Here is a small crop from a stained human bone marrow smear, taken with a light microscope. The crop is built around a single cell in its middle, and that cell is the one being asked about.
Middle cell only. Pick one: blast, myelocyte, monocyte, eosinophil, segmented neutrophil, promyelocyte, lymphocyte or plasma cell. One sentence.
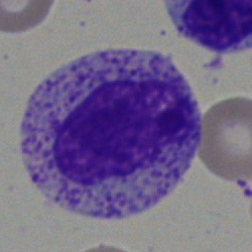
The single cell at the center of the crop is a myelocyte.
